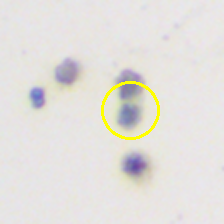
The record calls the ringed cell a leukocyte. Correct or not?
Correct; it is a leukocyte.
